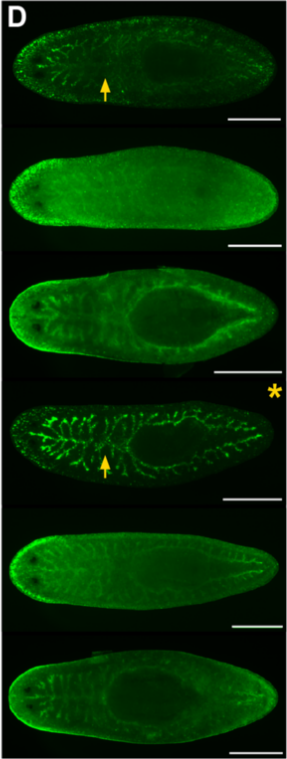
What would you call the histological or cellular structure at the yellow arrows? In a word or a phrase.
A: anterior intestinal branches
